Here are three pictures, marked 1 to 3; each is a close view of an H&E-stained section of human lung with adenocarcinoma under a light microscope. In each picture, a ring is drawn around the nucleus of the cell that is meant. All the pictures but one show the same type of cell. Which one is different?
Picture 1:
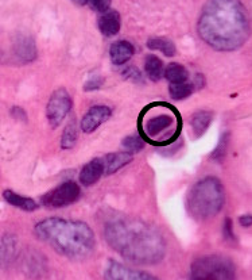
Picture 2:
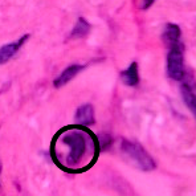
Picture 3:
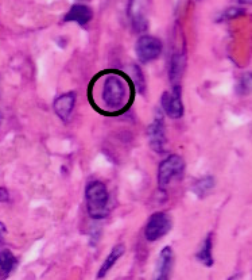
1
